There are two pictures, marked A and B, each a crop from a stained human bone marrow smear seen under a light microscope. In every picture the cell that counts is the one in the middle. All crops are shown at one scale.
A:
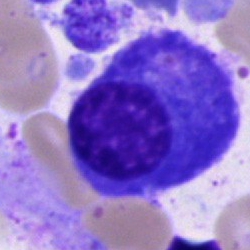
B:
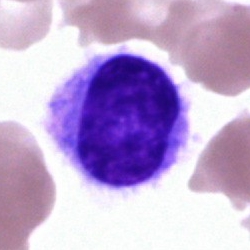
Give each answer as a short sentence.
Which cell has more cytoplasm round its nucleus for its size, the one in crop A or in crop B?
In crop A the nucleus takes up the smaller part of its cell.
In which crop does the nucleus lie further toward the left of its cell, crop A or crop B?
Seen within its cell, the nucleus in crop A lies further toward the left.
